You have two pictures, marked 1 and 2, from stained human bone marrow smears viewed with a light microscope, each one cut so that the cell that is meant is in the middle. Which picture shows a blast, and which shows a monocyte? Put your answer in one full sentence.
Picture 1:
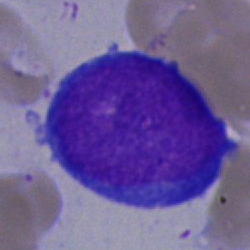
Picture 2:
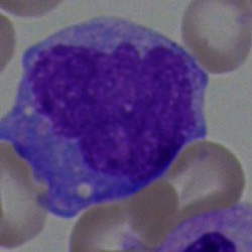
Picture 2 shows a monocyte, while picture 1 shows a blast.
